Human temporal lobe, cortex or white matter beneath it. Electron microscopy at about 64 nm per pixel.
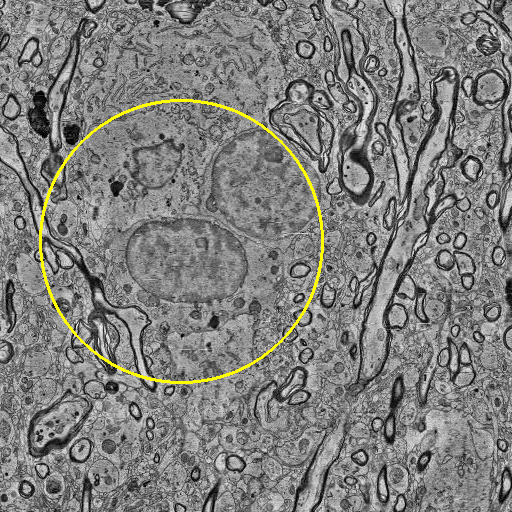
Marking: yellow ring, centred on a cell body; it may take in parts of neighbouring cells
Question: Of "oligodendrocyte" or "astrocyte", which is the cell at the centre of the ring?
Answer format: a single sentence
The ring surrounds the body of an oligodendrocyte.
